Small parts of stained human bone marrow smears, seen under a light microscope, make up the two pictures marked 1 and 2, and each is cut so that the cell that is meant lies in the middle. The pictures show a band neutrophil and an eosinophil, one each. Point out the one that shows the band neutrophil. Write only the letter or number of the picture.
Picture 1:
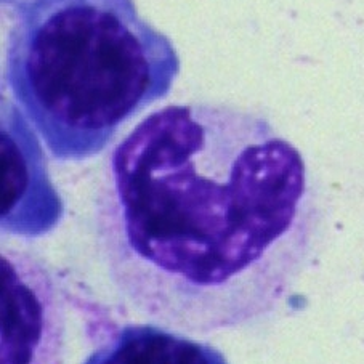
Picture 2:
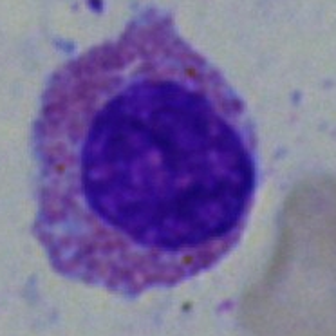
1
